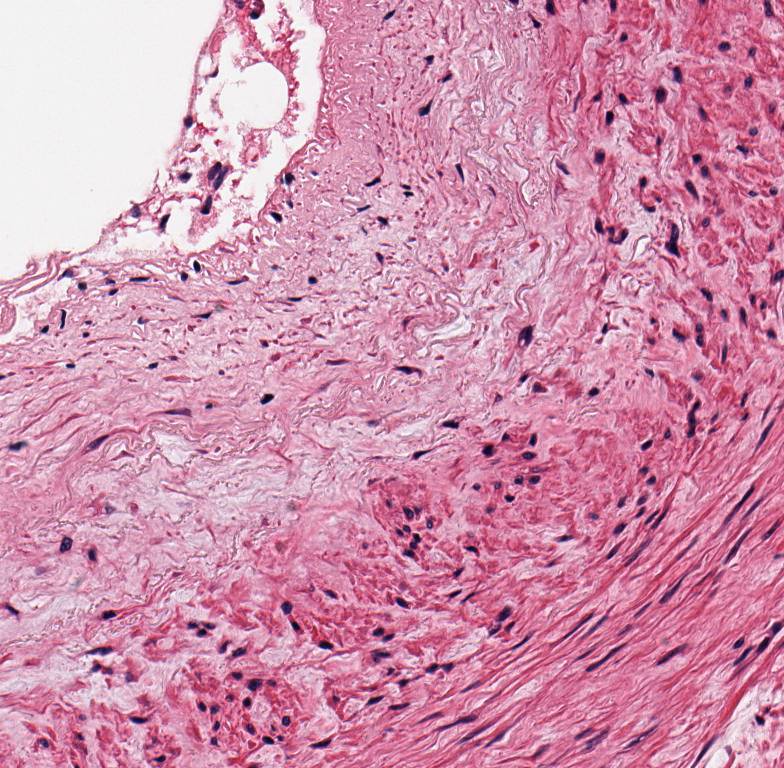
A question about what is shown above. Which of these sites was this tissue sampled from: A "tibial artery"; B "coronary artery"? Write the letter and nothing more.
B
